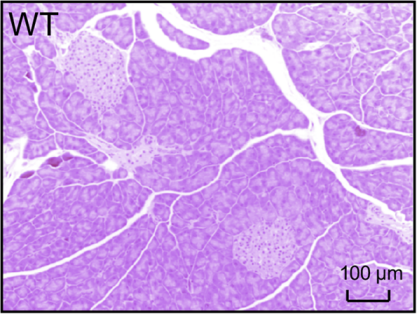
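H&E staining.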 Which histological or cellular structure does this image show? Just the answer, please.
pancreatic islets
